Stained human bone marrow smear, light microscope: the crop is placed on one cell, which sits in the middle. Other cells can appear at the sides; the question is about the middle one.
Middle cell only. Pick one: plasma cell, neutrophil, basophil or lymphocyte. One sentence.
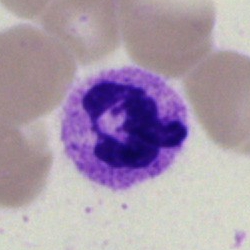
Regarding the central cell, it is a neutrophil.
